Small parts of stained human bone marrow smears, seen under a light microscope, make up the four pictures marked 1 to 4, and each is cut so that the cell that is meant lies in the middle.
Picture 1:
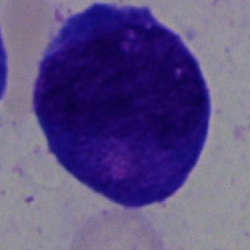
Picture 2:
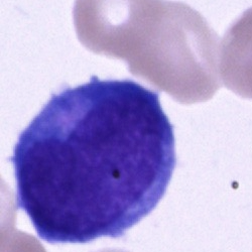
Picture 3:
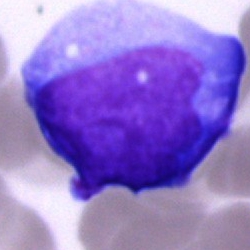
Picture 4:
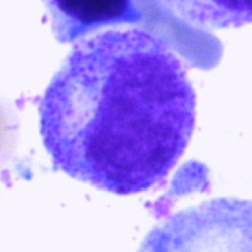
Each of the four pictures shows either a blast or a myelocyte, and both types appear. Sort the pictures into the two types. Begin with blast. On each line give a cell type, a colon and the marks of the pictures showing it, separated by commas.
blast: 1, 2, 3
myelocyte: 4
